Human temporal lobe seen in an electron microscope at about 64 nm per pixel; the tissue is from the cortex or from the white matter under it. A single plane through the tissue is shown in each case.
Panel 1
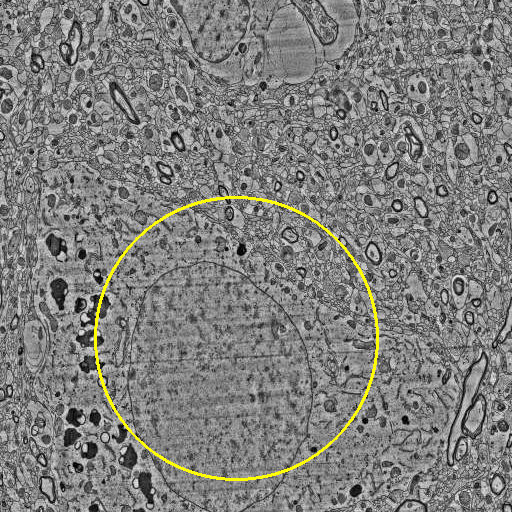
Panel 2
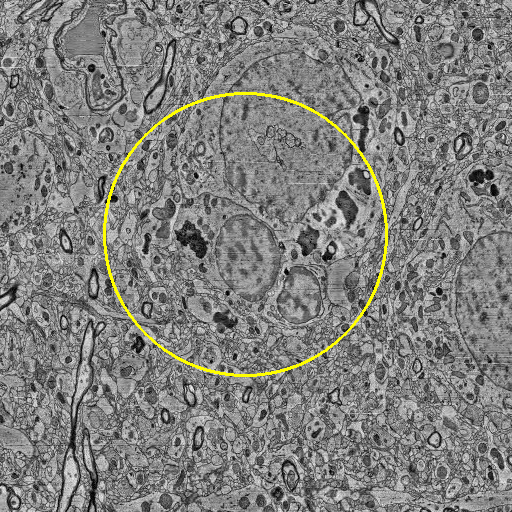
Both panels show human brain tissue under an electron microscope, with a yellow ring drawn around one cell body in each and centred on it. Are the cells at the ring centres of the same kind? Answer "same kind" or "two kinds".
two kinds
